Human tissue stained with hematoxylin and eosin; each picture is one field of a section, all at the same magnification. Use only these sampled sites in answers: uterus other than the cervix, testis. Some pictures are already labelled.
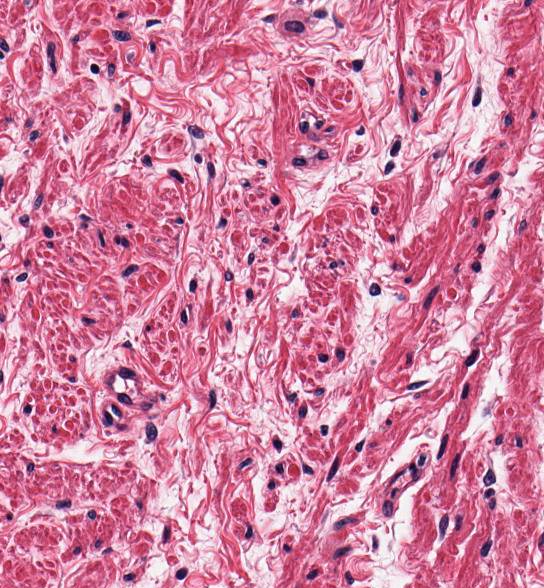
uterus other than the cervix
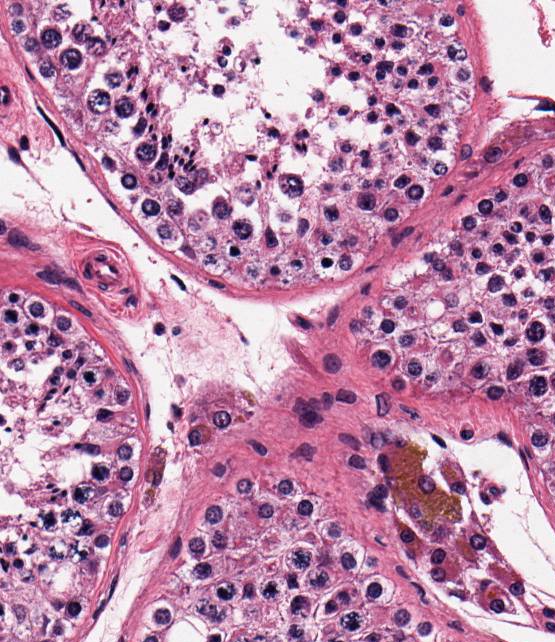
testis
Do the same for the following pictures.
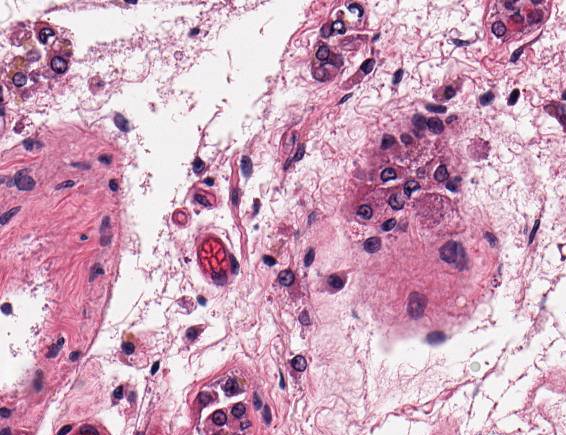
testis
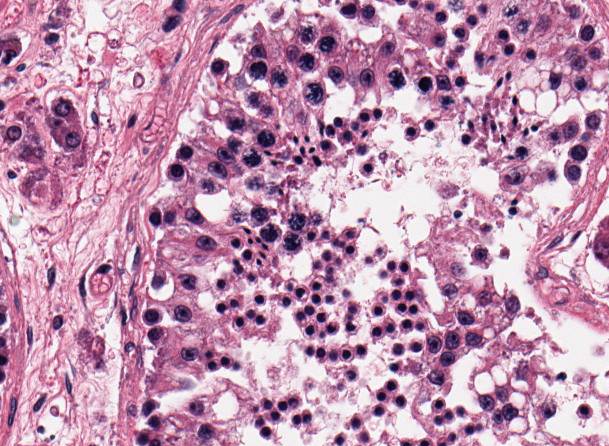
testis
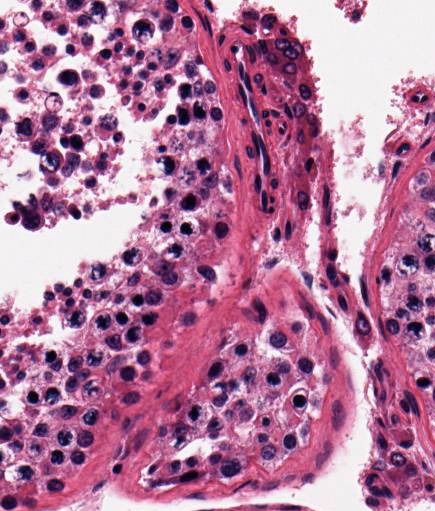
testis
